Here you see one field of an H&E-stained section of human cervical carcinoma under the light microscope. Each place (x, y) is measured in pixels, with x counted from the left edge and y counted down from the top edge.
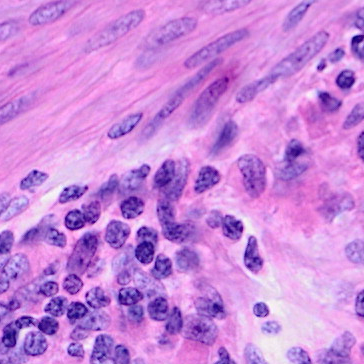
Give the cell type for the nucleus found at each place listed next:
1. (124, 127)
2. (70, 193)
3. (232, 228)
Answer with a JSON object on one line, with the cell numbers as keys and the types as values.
{"1": "smooth muscle cell", "2": "lymphocyte", "3": "lymphocyte"}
